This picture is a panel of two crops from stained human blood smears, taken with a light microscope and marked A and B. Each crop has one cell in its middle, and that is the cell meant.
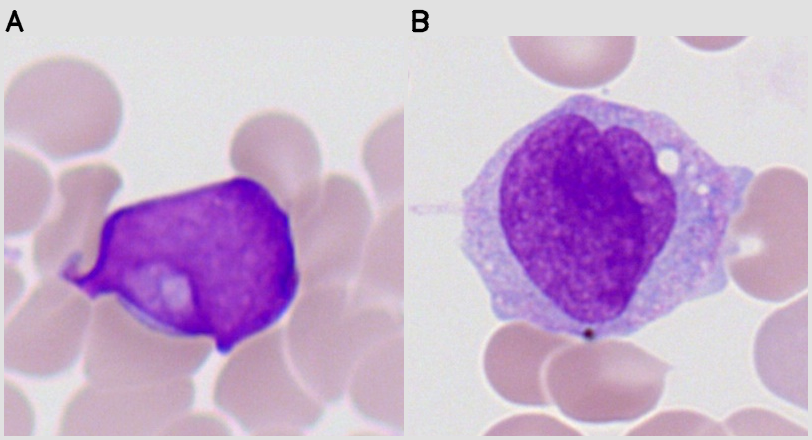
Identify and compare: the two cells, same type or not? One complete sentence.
No, mark crop A as a myeloblast and crop B as a monocyte.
